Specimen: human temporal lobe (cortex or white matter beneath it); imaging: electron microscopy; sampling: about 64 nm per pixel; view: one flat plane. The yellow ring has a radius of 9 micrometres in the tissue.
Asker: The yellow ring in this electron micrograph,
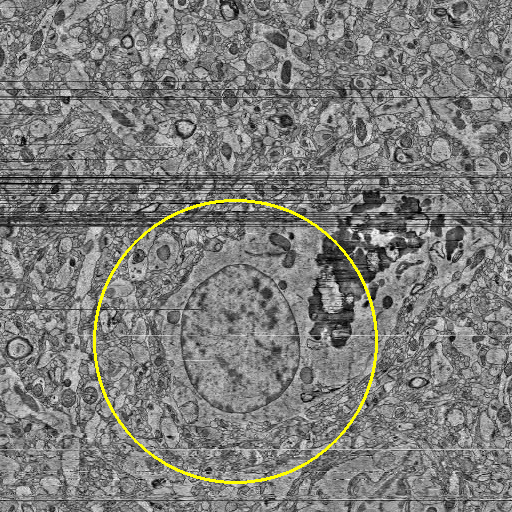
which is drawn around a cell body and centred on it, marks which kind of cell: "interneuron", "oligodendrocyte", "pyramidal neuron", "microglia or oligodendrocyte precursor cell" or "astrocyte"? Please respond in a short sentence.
The marked cell is an astrocyte.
